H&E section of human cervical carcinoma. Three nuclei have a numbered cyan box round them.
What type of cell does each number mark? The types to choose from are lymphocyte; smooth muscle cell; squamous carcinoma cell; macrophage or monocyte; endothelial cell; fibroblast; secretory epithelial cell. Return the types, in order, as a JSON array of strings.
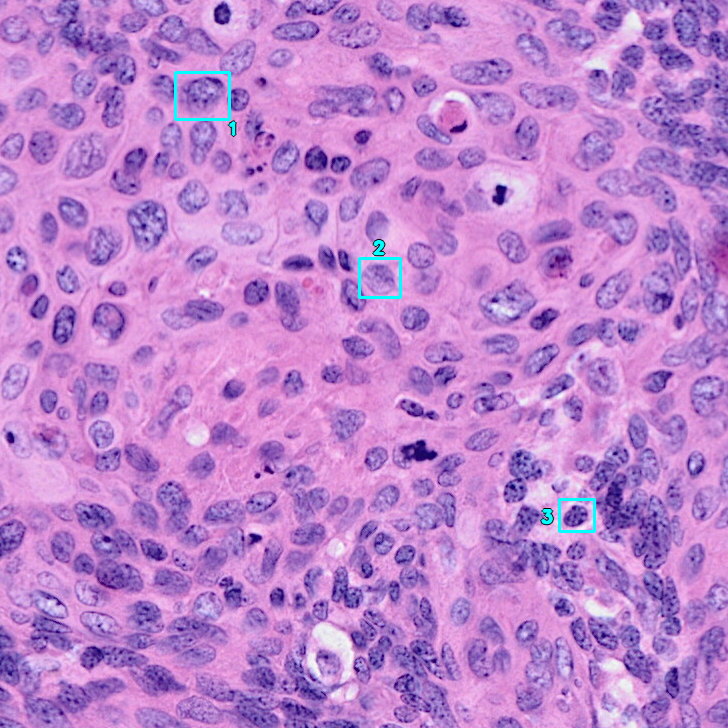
["squamous carcinoma cell", "squamous carcinoma cell", "lymphocyte"]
